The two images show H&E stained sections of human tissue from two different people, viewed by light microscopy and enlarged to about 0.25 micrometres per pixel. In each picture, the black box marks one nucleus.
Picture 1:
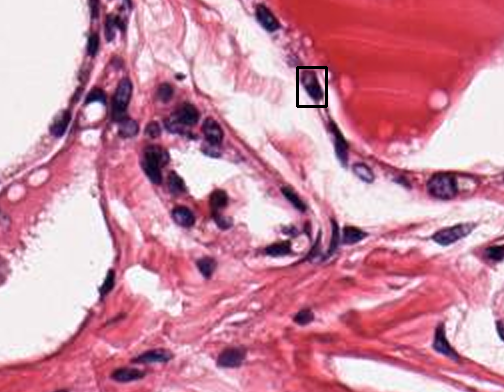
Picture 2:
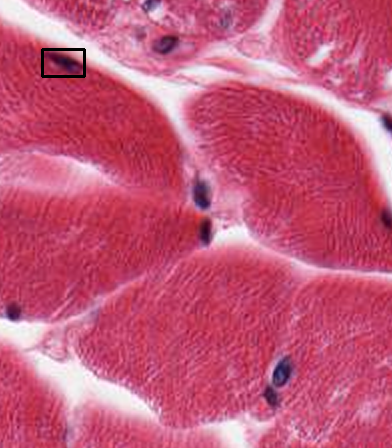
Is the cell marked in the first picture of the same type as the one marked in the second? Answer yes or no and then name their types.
No, the first is a thyroid follicular cell and the second a skeletal muscle fibre.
